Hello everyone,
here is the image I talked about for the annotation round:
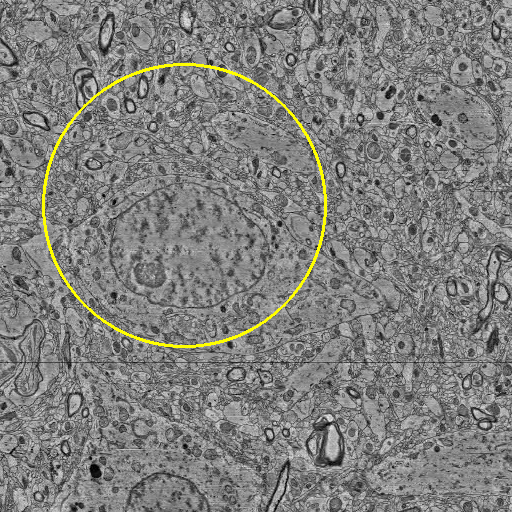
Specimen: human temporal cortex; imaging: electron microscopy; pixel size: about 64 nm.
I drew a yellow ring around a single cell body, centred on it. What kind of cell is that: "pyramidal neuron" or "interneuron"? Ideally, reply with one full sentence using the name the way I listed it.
The cell your yellow ring is centred on is a pyramidal neuron, going by your list.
